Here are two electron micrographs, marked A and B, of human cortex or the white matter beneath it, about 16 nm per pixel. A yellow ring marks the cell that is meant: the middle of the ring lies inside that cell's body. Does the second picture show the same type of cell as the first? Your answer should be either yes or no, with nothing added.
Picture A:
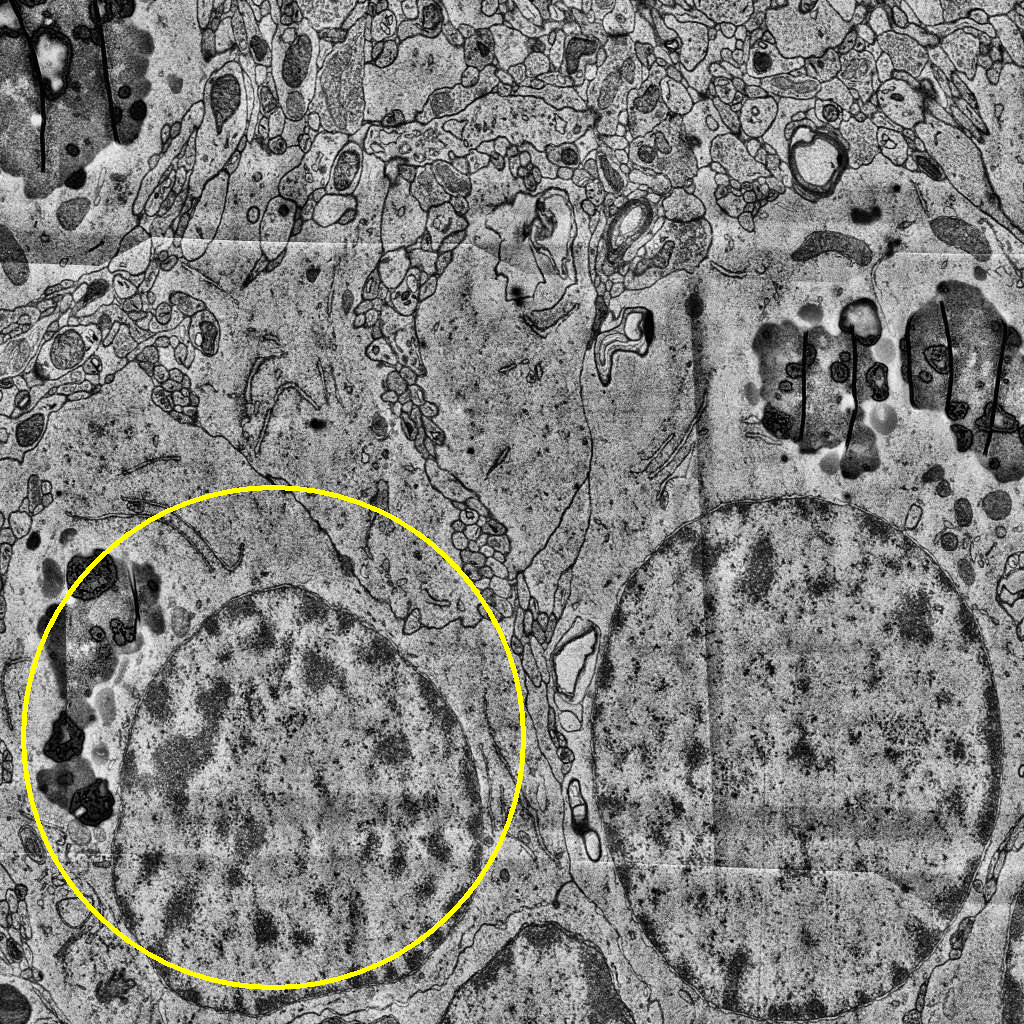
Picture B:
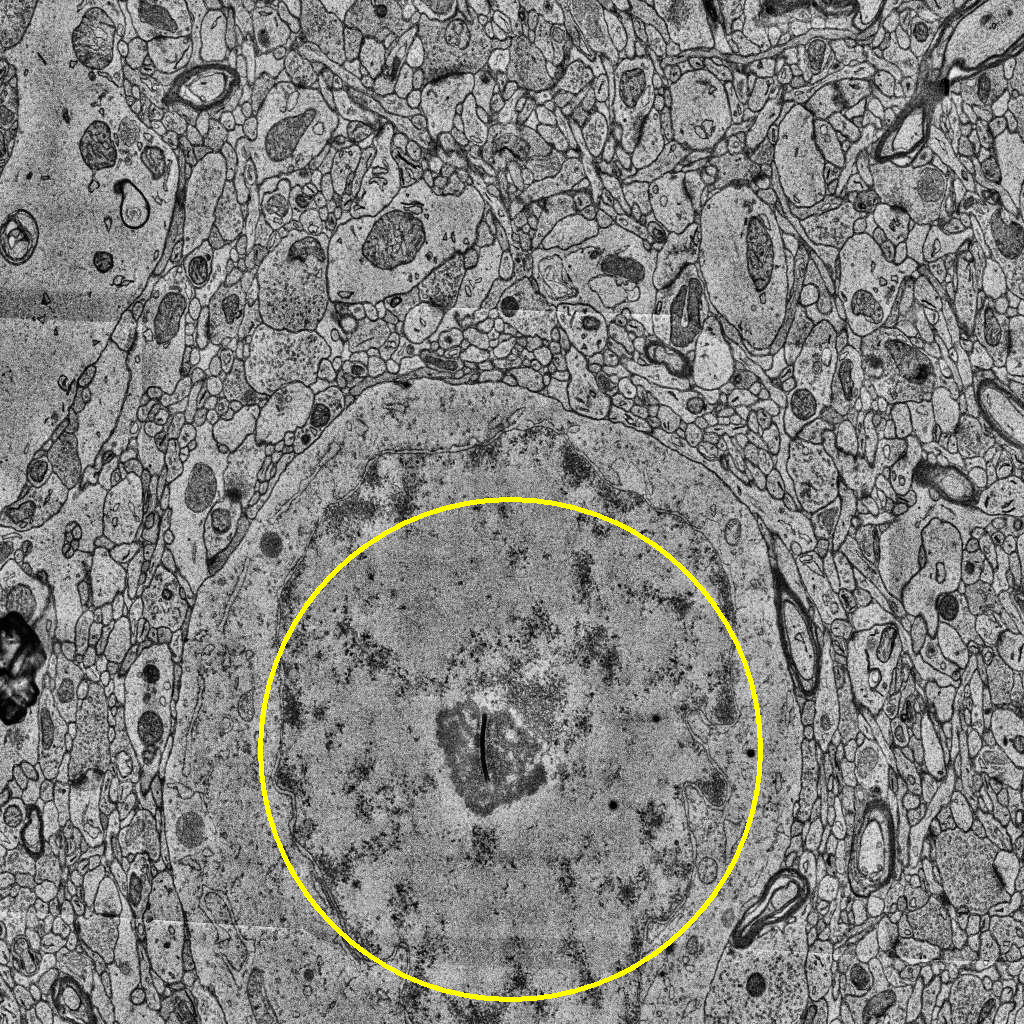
no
